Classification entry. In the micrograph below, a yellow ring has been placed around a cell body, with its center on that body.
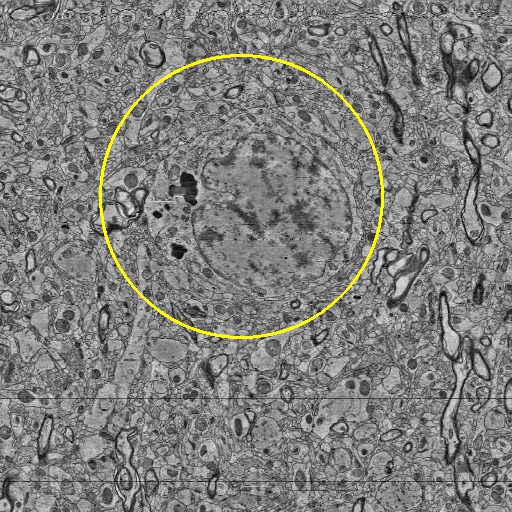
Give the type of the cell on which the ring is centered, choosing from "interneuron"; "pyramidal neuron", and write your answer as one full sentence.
The cell body at the center of the yellow ring belongs to an interneuron.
